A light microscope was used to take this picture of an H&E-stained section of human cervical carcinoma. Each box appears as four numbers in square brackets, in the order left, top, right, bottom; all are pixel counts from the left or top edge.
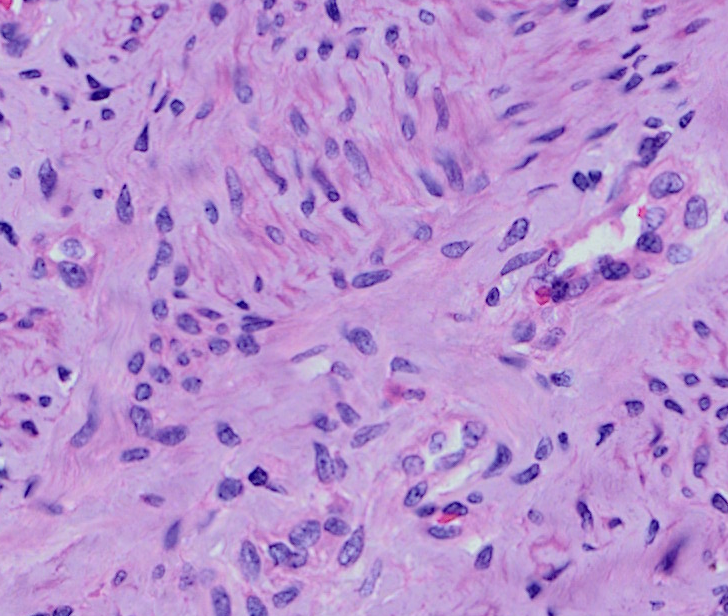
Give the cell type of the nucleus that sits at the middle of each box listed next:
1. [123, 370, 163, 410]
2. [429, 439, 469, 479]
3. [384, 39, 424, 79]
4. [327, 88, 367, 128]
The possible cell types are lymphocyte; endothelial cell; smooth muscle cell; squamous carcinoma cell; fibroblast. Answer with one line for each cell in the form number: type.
1: smooth muscle cell
2: endothelial cell
3: smooth muscle cell
4: smooth muscle cell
